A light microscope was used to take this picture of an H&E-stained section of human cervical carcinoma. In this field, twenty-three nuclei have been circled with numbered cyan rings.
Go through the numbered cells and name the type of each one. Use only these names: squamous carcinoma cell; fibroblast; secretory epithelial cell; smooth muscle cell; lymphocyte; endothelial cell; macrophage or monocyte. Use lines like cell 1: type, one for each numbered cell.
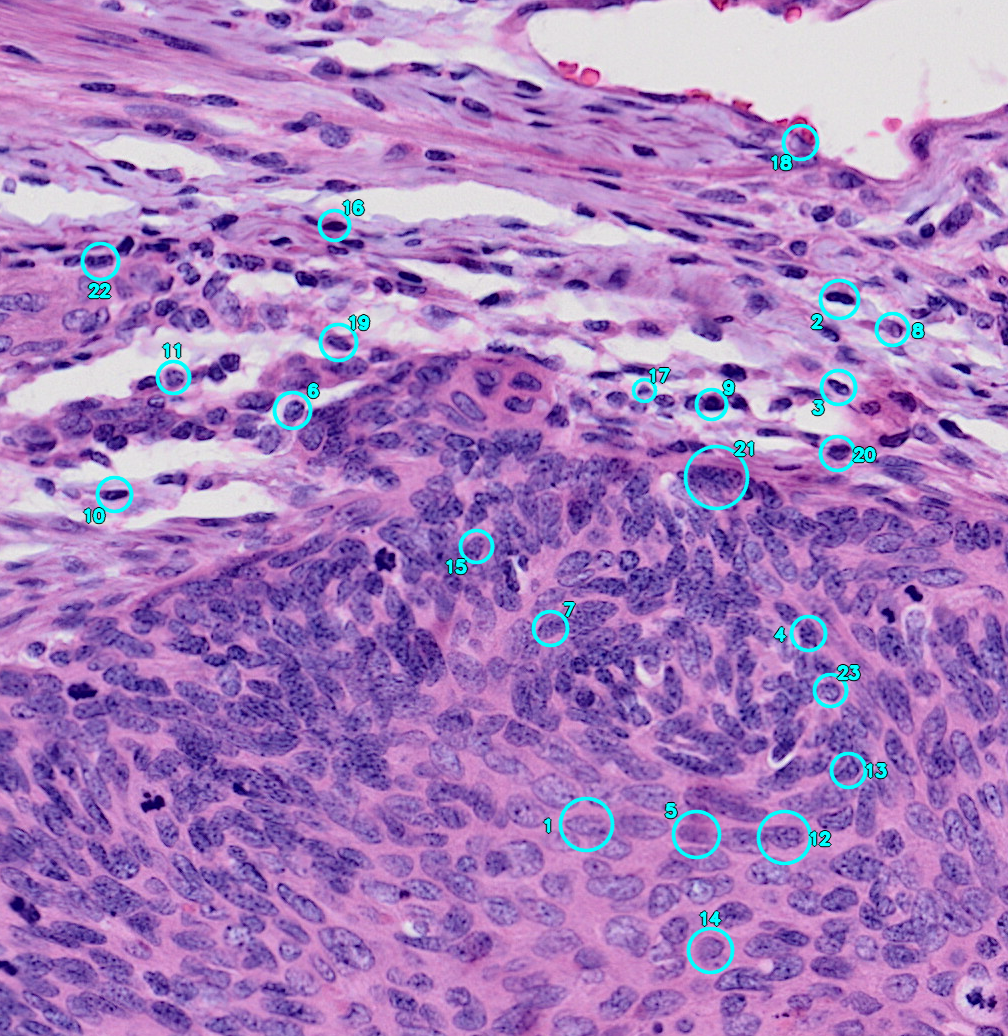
cell 1: squamous carcinoma cell
cell 2: lymphocyte
cell 3: lymphocyte
cell 4: squamous carcinoma cell
cell 5: squamous carcinoma cell
cell 6: lymphocyte
cell 7: squamous carcinoma cell
cell 8: macrophage or monocyte
cell 9: lymphocyte
cell 10: lymphocyte
cell 11: lymphocyte
cell 12: squamous carcinoma cell
cell 13: squamous carcinoma cell
cell 14: squamous carcinoma cell
cell 15: squamous carcinoma cell
cell 16: lymphocyte
cell 17: lymphocyte
cell 18: endothelial cell
cell 19: lymphocyte
cell 20: lymphocyte
cell 21: squamous carcinoma cell
cell 22: lymphocyte
cell 23: squamous carcinoma cell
